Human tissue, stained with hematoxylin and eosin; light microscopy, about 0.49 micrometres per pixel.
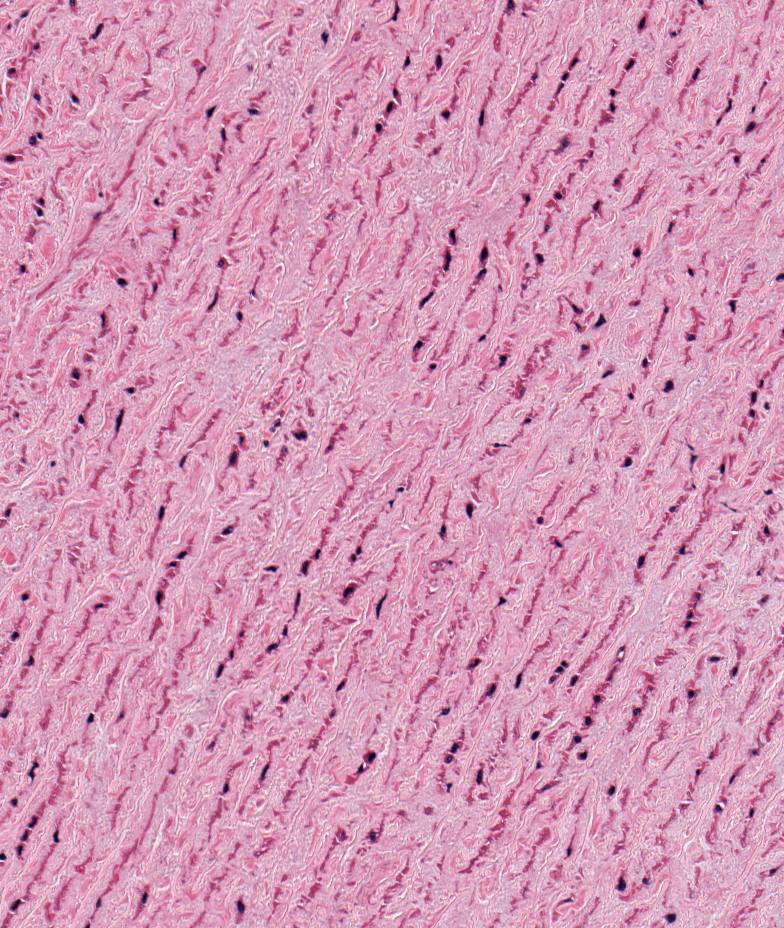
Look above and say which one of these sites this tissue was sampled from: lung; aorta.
aorta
